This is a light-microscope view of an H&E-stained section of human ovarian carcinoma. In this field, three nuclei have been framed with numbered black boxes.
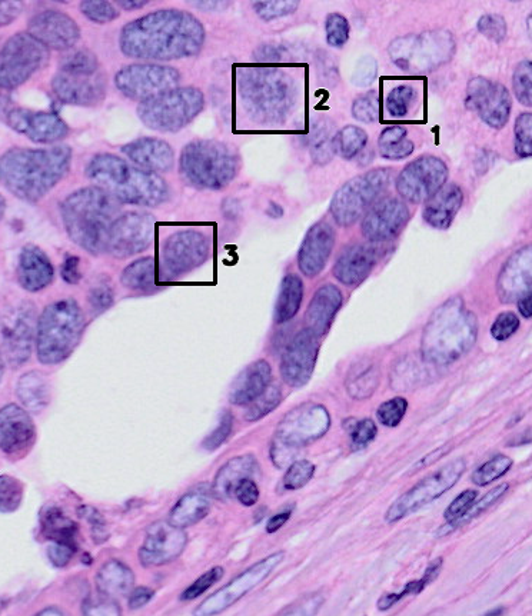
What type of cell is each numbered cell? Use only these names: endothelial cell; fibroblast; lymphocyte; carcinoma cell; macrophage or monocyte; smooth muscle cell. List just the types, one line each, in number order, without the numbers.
lymphocyte
carcinoma cell
carcinoma cell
